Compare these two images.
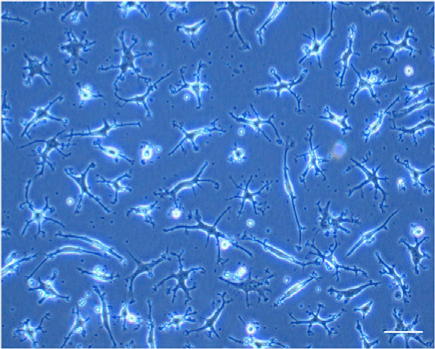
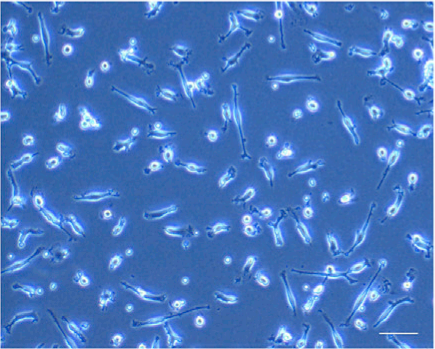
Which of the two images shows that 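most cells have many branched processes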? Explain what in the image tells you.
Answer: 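First image: most cells bear several branching processes, many star-shaped. Second image: cells are mostly spindle-shaped with one or two unbranched extensions, and many are still round.
Answer: the first image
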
